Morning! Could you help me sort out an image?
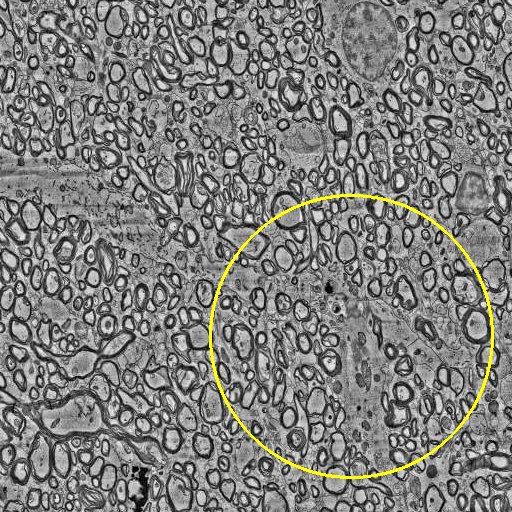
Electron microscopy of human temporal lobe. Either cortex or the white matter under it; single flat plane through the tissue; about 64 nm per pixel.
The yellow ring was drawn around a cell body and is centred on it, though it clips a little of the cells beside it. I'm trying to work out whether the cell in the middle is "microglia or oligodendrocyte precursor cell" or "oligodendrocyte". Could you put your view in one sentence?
The ringed cell body is that of an oligodendrocyte.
